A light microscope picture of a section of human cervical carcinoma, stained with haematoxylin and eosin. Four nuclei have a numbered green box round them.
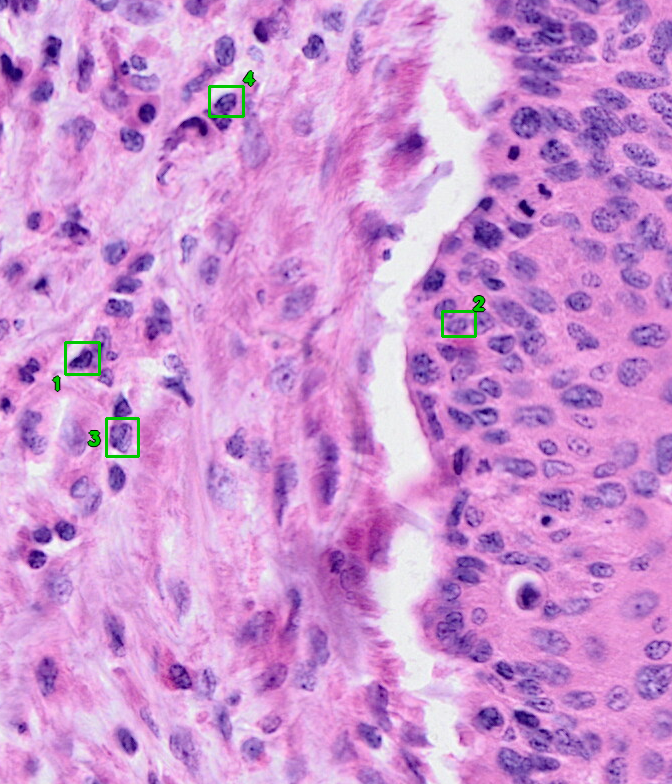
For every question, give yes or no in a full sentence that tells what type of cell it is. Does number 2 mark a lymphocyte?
No, the cell labelled number 2 is not a lymphocyte; it is a squamous carcinoma cell.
